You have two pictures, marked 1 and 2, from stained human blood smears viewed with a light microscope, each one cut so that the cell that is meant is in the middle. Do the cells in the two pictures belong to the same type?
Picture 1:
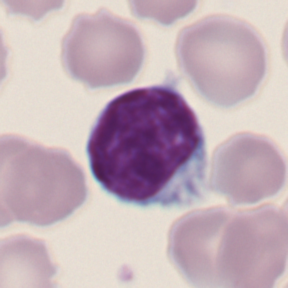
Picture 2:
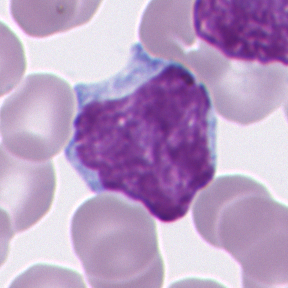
yes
